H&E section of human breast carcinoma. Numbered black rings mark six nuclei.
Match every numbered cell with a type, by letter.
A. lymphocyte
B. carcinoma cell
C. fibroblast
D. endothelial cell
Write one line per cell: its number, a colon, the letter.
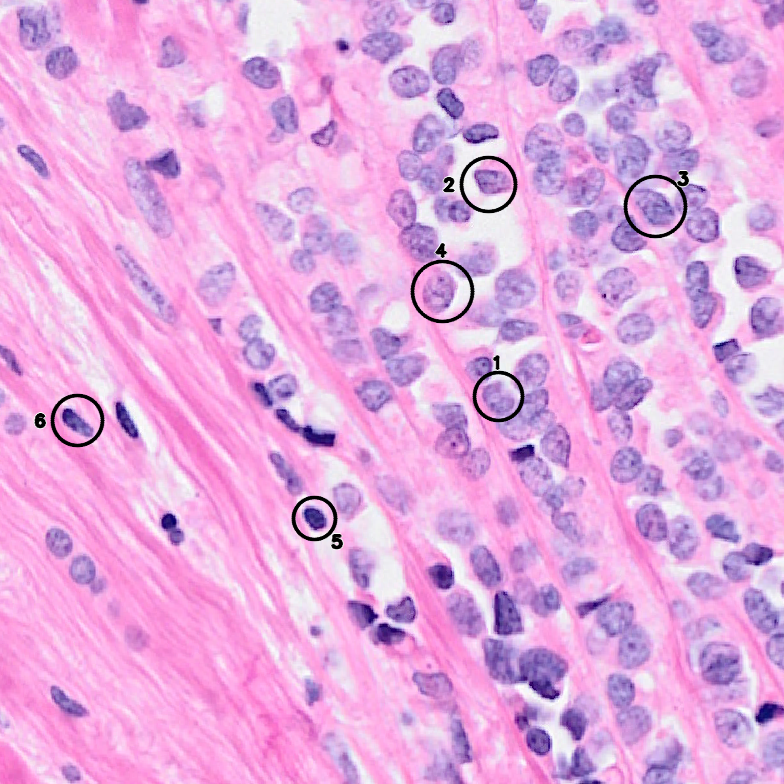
1: B
2: B
3: B
4: B
5: A
6: A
